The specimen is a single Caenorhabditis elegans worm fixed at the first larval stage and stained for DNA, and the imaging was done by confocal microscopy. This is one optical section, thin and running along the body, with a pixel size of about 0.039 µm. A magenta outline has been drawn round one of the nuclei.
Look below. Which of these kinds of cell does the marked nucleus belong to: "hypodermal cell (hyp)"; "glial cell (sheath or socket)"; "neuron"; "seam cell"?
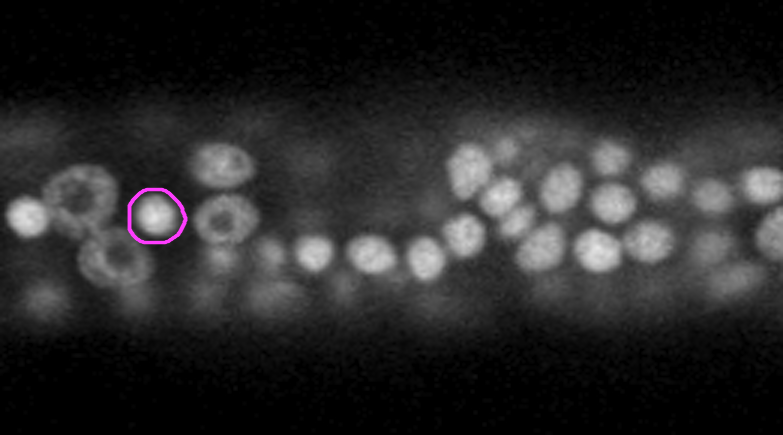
glial cell (sheath or socket)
